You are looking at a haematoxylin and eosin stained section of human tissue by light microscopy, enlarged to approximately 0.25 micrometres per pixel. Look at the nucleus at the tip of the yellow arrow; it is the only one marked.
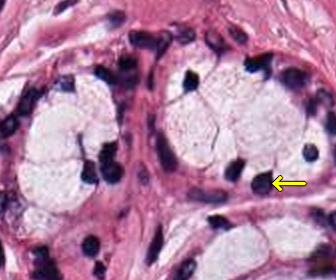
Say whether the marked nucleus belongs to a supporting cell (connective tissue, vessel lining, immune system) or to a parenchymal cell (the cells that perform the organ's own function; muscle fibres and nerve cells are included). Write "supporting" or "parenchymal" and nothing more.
parenchymal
